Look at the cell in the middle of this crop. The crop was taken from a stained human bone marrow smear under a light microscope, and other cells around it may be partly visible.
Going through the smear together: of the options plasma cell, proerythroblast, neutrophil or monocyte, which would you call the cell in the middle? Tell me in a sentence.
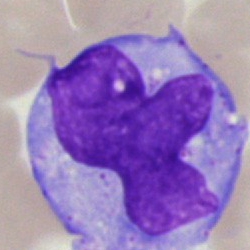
The center cell of this crop is a monocyte.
